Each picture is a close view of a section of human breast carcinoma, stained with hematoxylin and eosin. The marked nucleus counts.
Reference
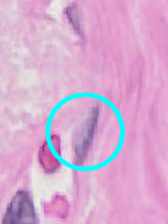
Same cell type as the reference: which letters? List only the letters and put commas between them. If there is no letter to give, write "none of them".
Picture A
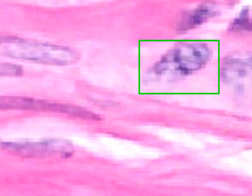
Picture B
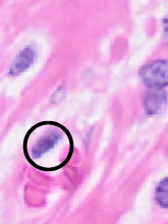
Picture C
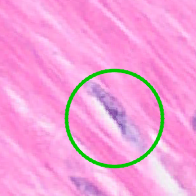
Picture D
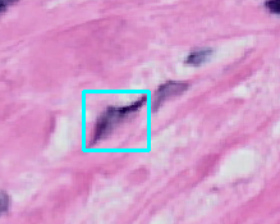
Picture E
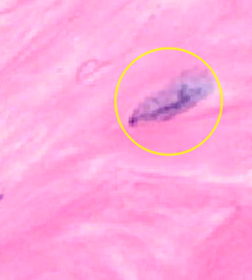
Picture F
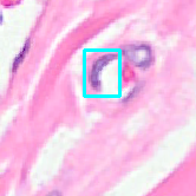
A, B, F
